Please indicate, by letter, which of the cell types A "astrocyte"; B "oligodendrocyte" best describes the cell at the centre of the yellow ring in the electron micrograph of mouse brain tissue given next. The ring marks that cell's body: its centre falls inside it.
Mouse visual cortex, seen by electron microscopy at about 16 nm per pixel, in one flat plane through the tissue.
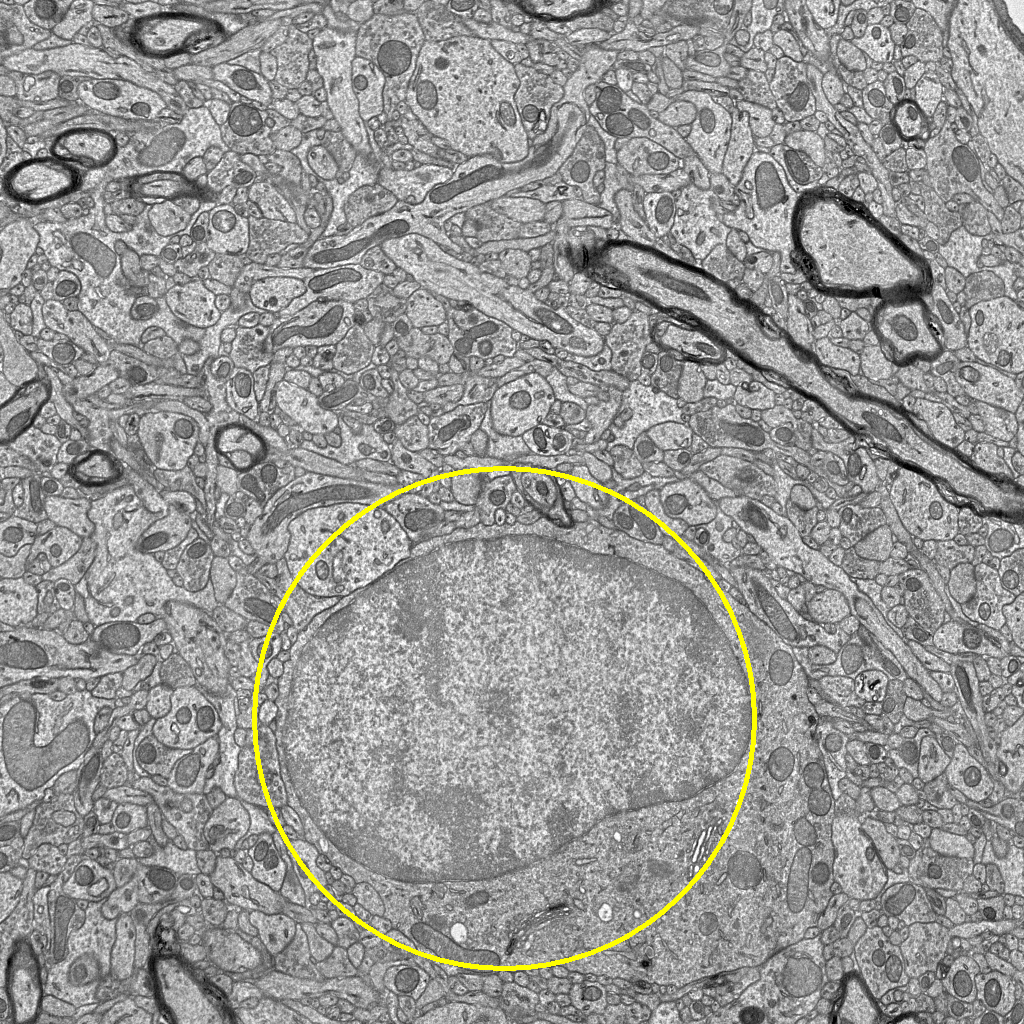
B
